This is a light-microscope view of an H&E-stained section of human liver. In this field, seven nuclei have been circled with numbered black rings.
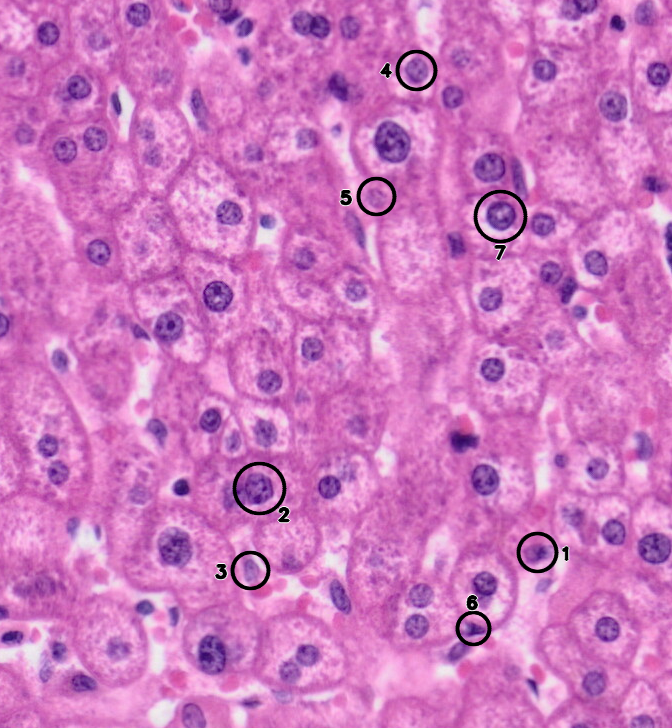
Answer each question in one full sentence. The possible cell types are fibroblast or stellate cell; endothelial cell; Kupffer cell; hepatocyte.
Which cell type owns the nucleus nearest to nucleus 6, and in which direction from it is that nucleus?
Lying below and to the left of nucleus 6, the nearest nucleus is that of a Kupffer cell.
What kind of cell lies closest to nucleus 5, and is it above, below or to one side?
The nearest one is a Kupffer cell, found below and to the left of nucleus 5.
